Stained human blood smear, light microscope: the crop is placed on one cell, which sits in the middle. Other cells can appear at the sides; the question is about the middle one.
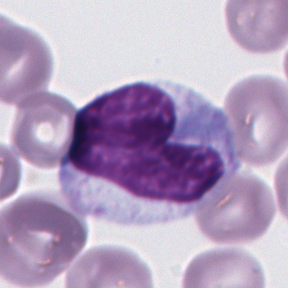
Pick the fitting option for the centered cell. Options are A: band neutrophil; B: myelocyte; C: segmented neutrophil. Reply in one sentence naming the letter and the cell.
Located in the middle of the crop is a band neutrophil, and option A is therefore correct.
